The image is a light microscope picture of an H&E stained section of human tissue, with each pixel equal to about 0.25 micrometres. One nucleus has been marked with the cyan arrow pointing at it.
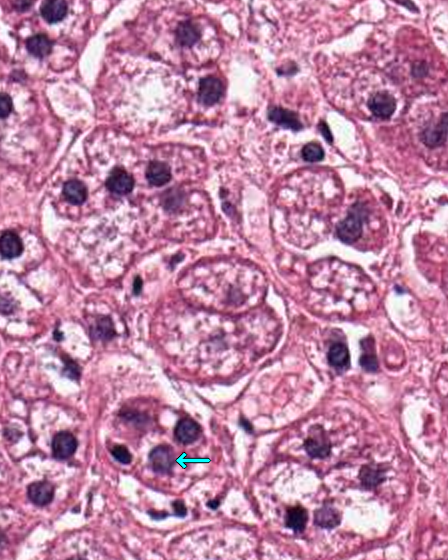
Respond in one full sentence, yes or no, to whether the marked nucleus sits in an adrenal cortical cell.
Yes, in this section the marked nucleus belongs to an adrenal cortical cell.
